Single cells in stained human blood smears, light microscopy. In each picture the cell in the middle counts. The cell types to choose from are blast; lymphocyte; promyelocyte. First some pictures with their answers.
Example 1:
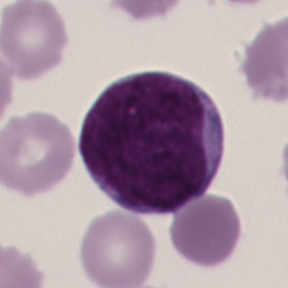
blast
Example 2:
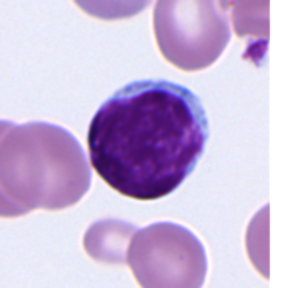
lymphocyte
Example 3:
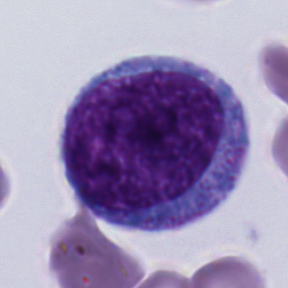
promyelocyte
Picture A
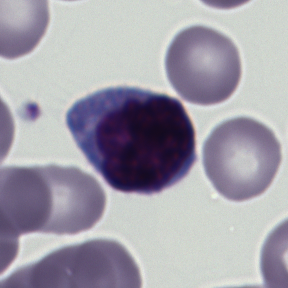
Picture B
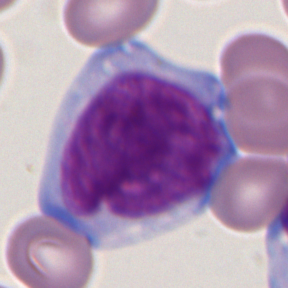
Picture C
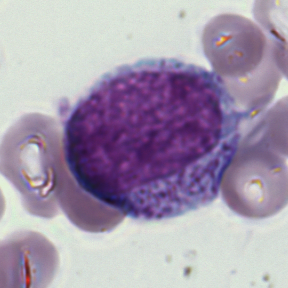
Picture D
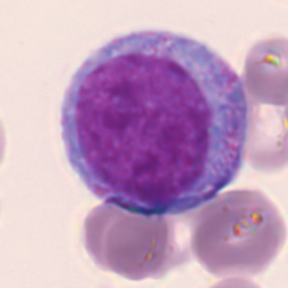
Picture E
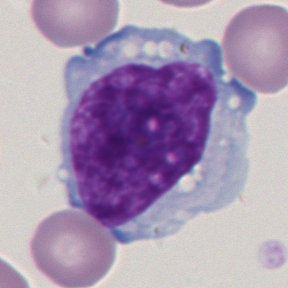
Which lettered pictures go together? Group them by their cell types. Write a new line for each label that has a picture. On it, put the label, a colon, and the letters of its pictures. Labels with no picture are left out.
blast: B, E
lymphocyte: A
promyelocyte: C, D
